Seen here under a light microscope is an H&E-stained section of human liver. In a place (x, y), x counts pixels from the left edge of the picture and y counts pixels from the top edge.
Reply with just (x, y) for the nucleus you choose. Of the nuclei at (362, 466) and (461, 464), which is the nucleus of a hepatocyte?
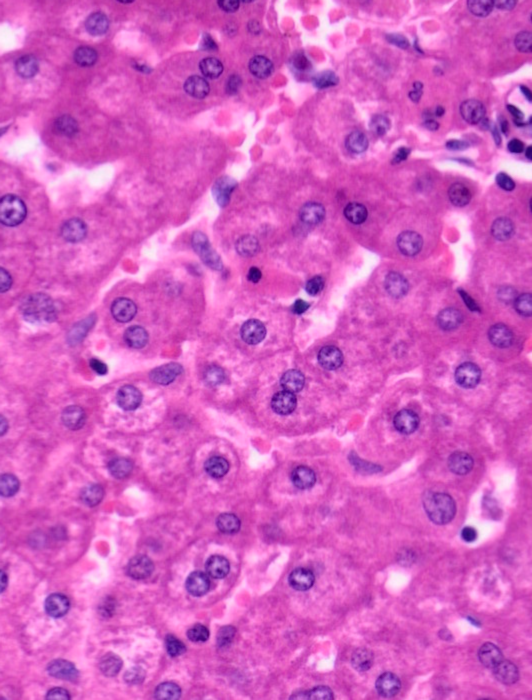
(461, 464)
